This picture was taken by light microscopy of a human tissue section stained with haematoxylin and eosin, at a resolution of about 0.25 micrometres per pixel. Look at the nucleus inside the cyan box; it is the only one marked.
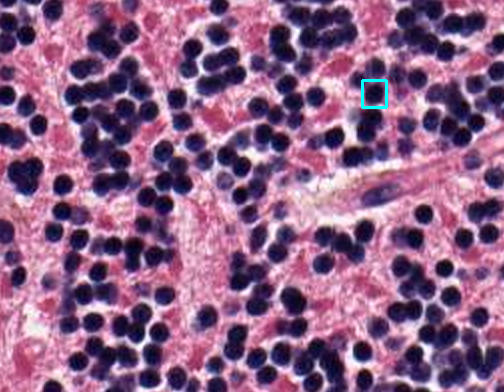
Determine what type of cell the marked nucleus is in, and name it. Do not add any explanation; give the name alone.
cerebellar granule cell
